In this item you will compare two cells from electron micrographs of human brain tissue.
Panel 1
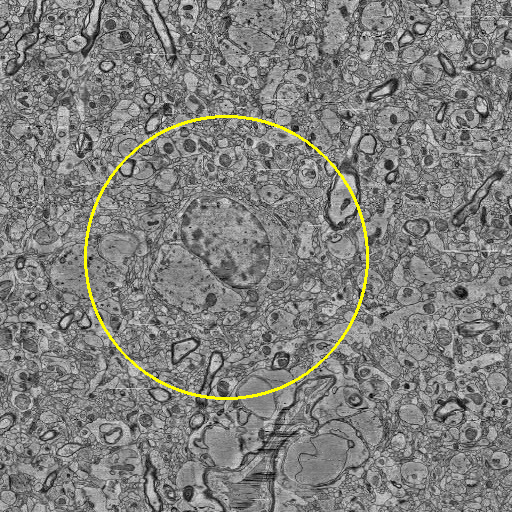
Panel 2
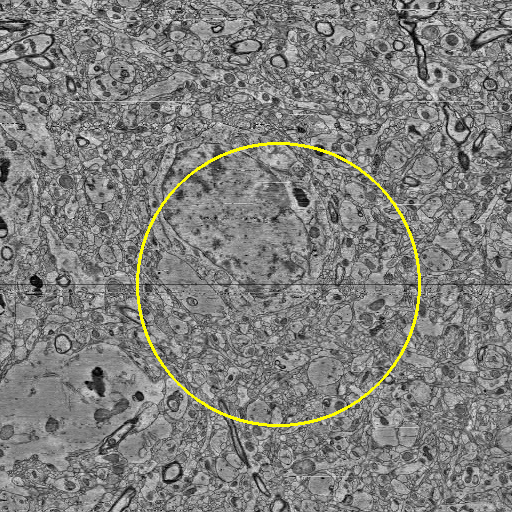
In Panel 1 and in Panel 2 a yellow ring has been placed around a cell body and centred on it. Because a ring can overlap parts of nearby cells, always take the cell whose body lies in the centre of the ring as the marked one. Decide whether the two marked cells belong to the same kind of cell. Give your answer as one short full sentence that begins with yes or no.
No, the two marked cells belong to two kinds of cell.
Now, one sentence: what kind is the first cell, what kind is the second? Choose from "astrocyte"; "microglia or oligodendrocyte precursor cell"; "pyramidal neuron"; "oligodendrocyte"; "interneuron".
The first picture has an oligodendrocyte at its ring centre, and the second has an interneuron.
